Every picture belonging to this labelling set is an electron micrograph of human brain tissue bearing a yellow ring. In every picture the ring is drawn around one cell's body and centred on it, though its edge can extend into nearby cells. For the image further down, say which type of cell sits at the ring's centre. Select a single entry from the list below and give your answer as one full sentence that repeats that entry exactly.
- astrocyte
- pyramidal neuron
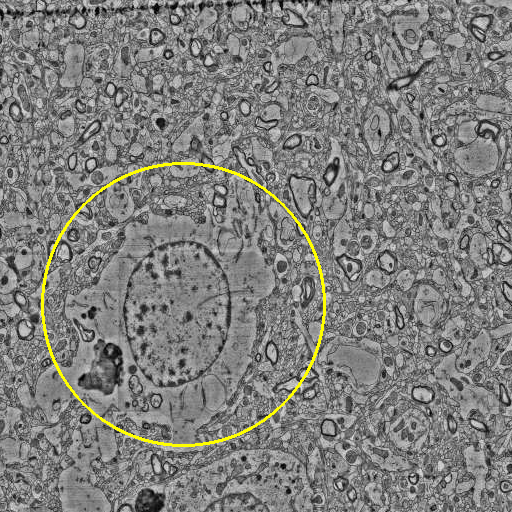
In the picture, an astrocyte is the cell at the centre of the yellow ring.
